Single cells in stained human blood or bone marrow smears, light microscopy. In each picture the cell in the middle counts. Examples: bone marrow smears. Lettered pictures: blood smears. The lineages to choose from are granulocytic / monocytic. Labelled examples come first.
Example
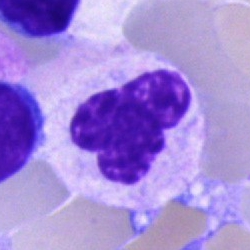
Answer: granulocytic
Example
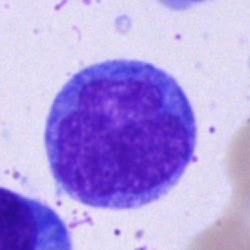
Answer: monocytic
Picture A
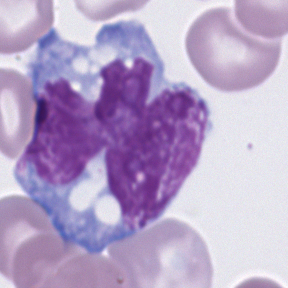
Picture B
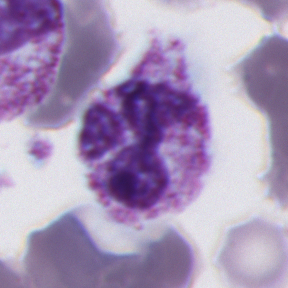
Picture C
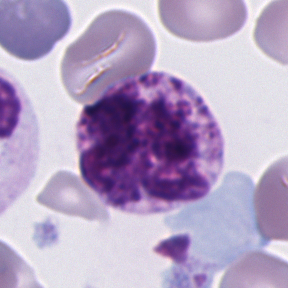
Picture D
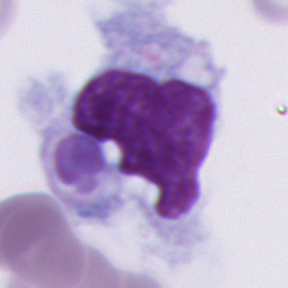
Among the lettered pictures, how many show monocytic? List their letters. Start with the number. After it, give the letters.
Count: 2 (A, D)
